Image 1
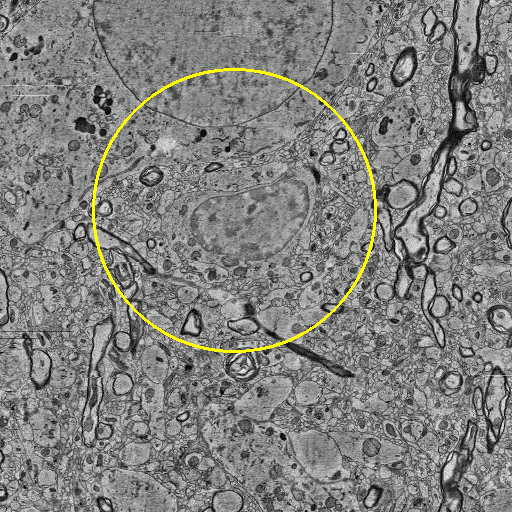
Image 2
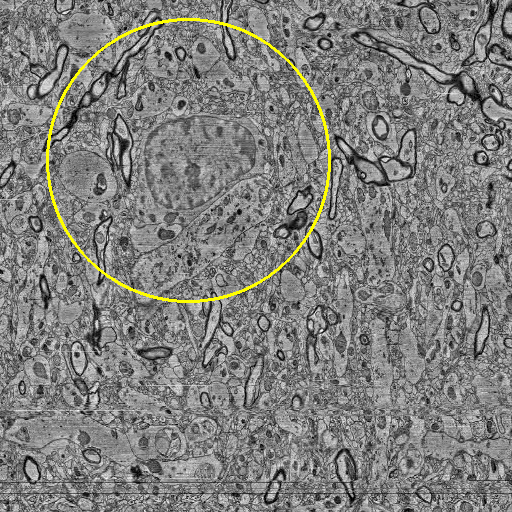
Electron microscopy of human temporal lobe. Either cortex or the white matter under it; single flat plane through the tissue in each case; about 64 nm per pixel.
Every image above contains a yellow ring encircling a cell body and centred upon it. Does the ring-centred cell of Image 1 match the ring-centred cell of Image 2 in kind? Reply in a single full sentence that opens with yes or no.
Yes, the cell at the ring's centre in Image 1 is the same kind as that in Image 2.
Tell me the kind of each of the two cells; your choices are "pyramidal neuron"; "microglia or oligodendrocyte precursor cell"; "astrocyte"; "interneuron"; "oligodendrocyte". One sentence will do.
Each of the two cells is an oligodendrocyte.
